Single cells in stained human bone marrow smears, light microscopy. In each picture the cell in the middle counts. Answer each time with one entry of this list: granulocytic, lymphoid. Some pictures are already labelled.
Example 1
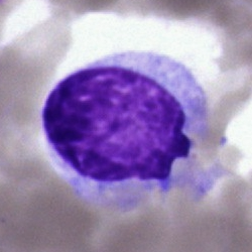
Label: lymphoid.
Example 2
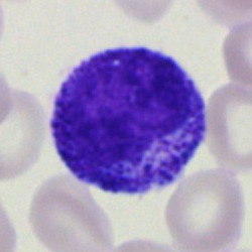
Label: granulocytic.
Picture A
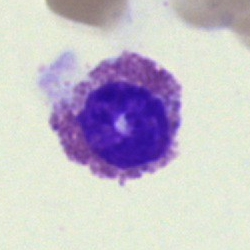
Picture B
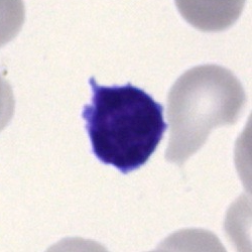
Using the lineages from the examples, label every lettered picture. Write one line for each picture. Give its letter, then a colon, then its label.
A: granulocytic.
B: lymphoid.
